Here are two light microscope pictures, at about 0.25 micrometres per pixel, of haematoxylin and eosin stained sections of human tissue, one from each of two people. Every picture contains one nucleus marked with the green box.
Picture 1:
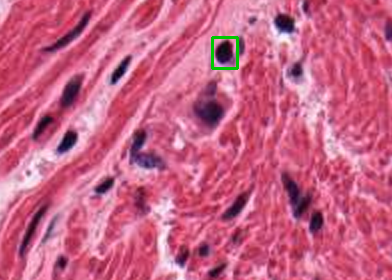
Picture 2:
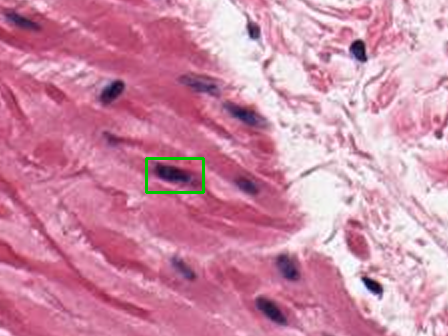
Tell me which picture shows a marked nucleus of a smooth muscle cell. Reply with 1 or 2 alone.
2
